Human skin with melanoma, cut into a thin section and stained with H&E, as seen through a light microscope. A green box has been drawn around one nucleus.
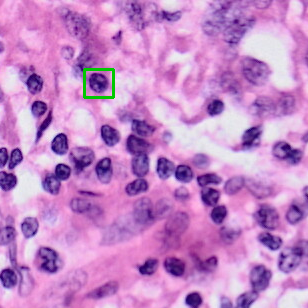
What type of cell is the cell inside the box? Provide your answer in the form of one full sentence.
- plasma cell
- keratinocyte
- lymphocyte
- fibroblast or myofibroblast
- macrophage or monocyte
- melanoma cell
The classification of the cell inside the box is as a plasma cell.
